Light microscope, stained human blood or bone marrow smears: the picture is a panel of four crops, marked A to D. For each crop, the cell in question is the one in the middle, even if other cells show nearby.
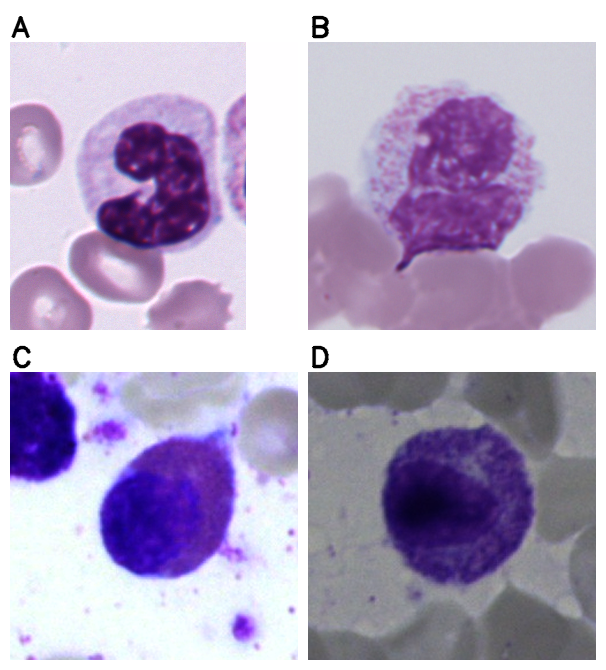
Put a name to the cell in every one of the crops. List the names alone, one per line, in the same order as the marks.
band neutrophil
band neutrophil
eosinophil
myelocyte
